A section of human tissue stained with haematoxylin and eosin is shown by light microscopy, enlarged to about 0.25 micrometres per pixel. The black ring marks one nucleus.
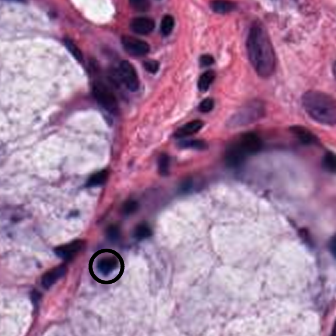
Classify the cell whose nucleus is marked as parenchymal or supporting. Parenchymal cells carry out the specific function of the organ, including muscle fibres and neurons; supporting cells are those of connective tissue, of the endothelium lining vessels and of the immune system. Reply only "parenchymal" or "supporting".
parenchymal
